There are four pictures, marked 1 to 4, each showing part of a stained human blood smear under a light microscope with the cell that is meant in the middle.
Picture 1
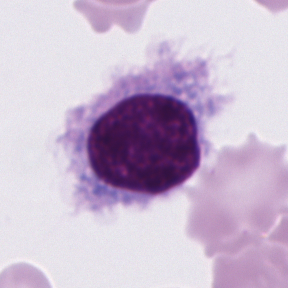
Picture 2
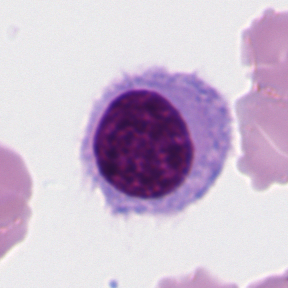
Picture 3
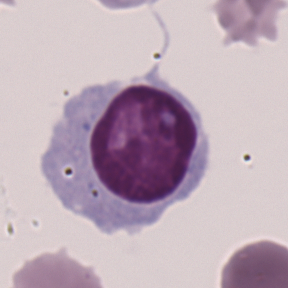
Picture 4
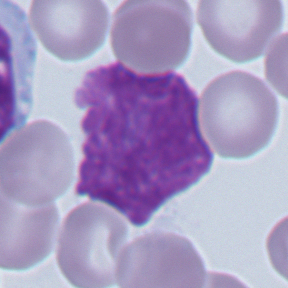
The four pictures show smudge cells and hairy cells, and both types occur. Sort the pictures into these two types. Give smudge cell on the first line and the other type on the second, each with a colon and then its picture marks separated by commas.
smudge cell: 4
hairy cell: 1, 2, 3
